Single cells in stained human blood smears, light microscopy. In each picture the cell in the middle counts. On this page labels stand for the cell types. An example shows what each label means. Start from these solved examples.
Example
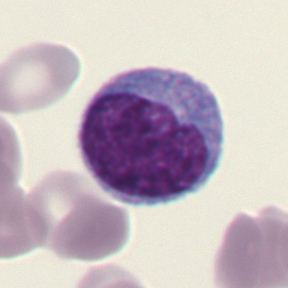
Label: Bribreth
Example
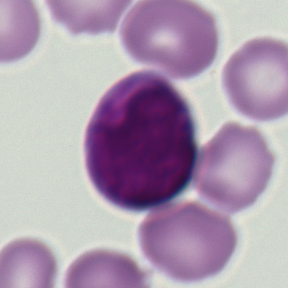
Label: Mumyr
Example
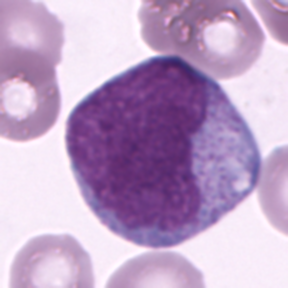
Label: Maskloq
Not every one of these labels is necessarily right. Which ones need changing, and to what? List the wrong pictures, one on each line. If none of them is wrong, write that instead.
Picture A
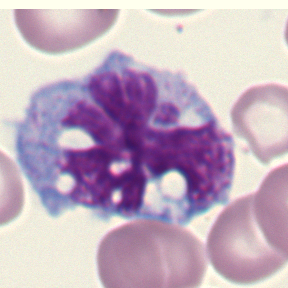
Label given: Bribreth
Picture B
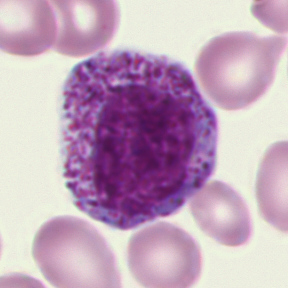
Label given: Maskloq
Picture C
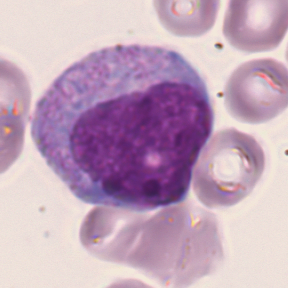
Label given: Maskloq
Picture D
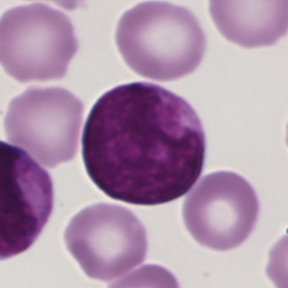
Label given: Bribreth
D is labelled Bribreth; correct label: Mumyr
